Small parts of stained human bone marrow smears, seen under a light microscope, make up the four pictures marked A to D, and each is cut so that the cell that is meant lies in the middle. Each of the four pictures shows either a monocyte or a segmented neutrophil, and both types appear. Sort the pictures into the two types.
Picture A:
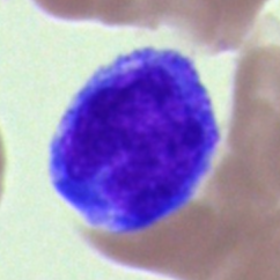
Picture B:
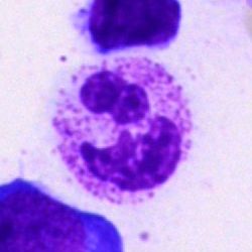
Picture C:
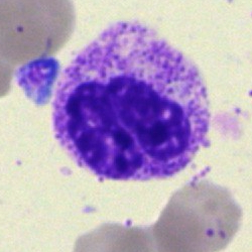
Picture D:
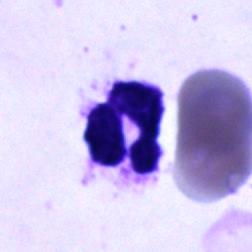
A: monocyte
B: segmented neutrophil
C: segmented neutrophil
D: segmented neutrophil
